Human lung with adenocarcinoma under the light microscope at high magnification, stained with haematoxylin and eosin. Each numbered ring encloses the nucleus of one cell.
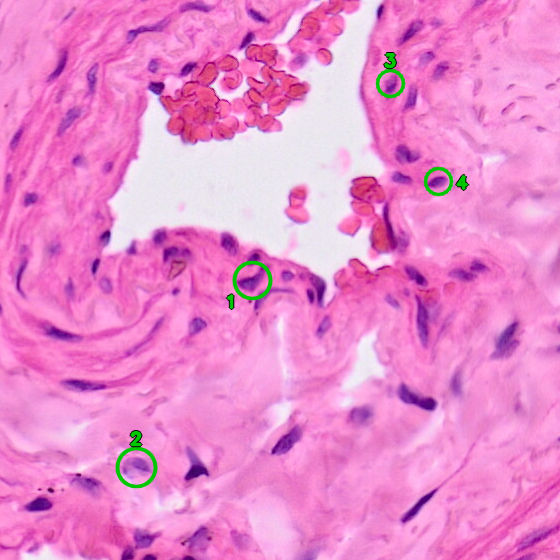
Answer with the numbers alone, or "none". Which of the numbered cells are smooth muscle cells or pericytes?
1, 3, 4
